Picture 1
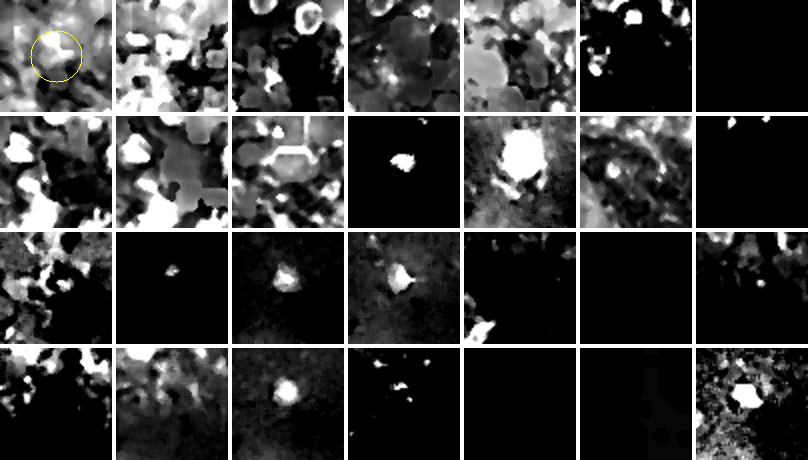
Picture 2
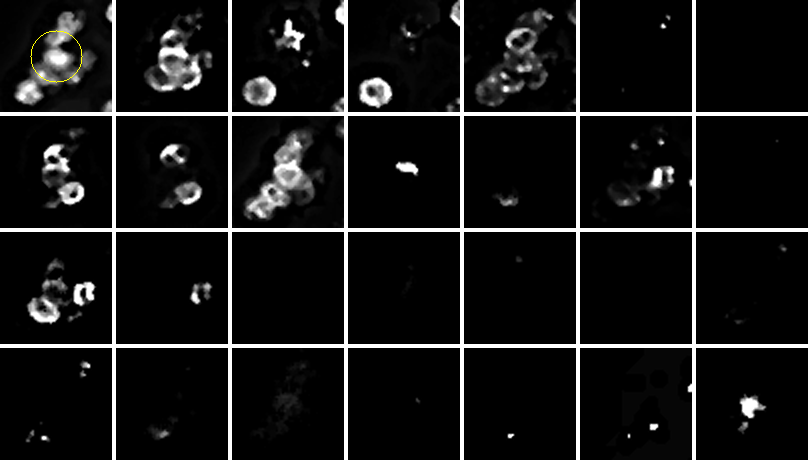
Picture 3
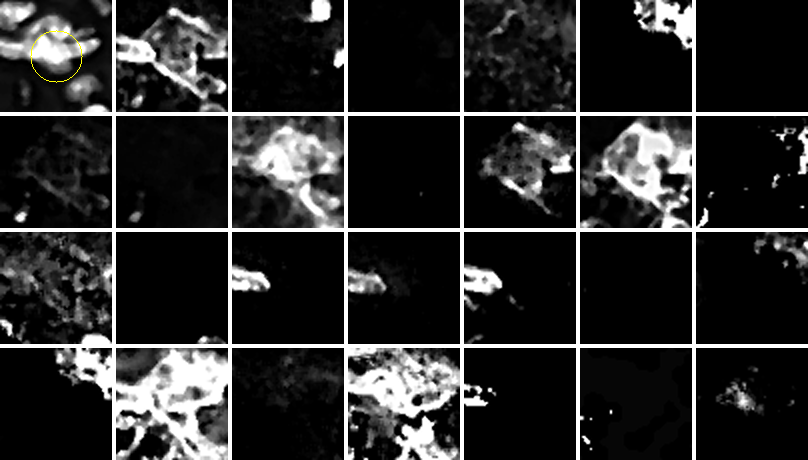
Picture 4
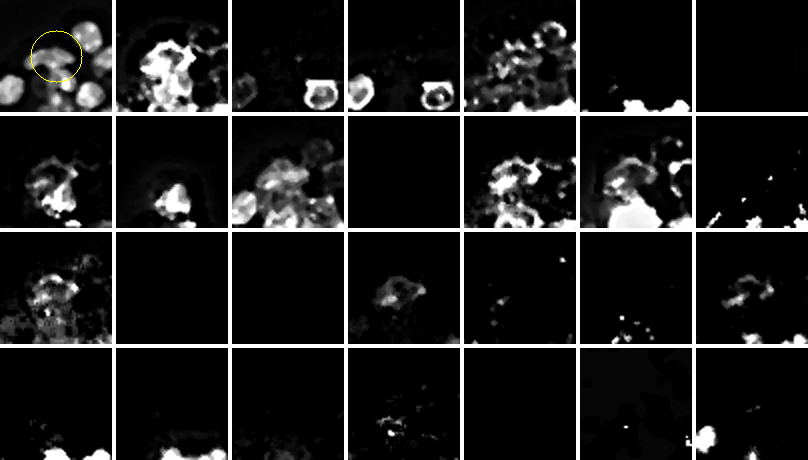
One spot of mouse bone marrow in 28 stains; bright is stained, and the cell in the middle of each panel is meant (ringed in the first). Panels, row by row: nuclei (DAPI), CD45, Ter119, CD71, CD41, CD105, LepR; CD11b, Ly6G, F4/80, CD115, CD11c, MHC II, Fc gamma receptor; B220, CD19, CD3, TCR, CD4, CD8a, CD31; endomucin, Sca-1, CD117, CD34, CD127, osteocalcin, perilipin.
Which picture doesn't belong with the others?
Picture 2.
